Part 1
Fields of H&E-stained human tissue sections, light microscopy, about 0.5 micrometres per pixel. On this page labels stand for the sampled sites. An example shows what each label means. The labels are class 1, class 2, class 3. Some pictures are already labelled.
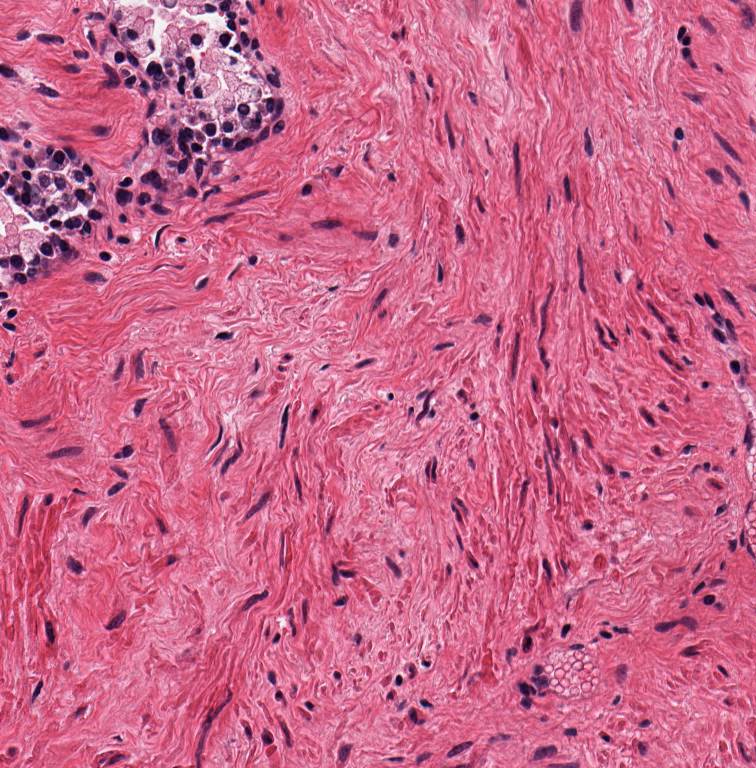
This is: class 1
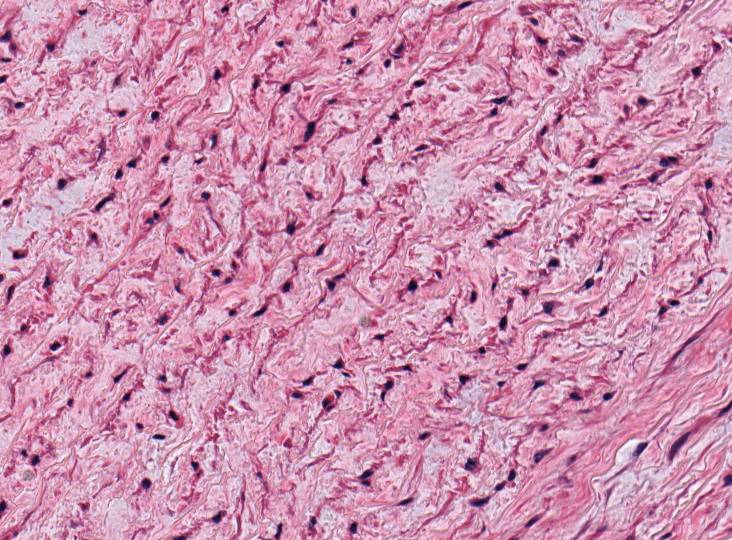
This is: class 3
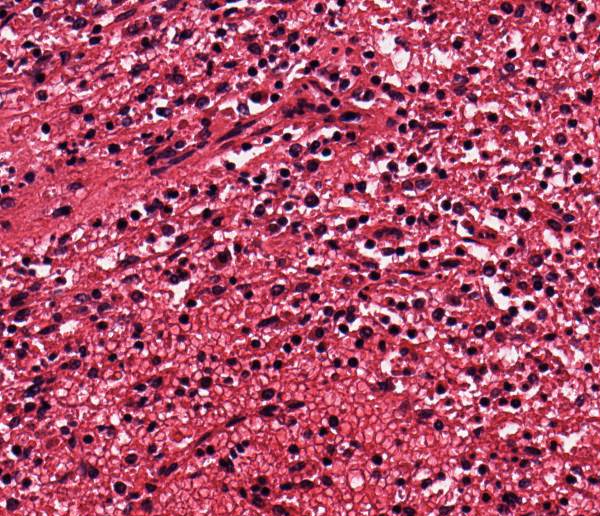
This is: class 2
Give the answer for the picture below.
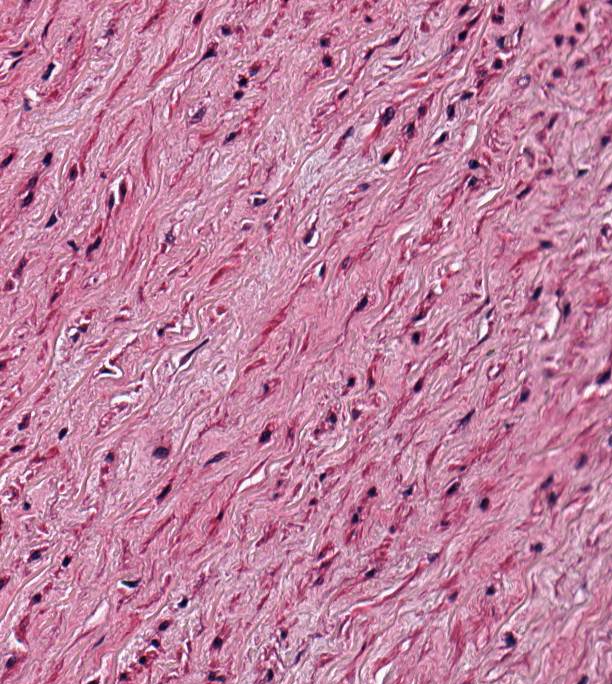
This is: class 3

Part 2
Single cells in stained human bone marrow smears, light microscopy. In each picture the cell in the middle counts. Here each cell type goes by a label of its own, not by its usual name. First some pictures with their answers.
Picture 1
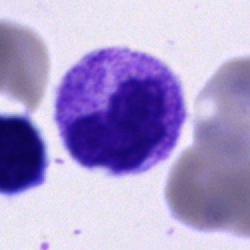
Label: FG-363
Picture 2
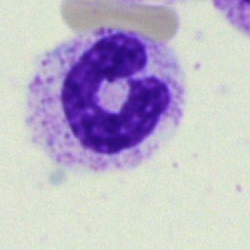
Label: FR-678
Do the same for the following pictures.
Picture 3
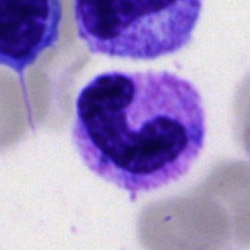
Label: FR-678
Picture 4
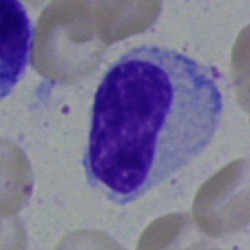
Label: FG-363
